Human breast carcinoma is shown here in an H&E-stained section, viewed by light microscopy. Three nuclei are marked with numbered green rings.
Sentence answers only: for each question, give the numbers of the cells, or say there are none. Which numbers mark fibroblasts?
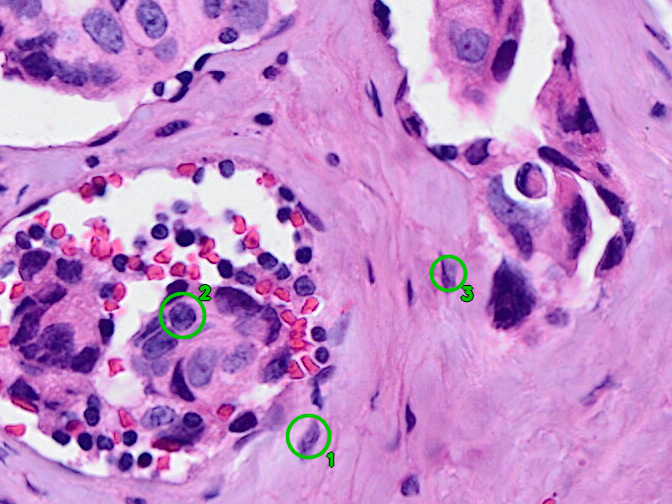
In this section, the cells labelled 1 and 3 are fibroblasts.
